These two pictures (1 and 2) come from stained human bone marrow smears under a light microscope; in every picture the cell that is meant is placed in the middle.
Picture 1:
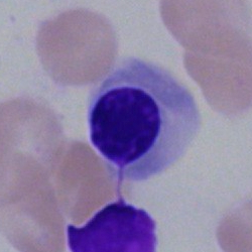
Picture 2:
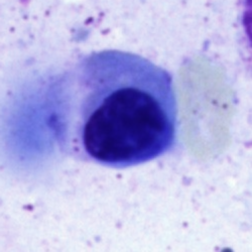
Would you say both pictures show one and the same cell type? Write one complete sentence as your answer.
Yes; the cells in both pictures are erythroblasts.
